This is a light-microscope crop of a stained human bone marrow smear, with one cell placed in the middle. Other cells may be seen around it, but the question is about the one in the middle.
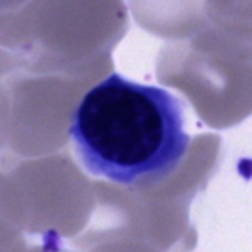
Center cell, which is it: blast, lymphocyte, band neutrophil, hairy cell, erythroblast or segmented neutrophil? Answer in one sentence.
In the central position of this crop, the cell is an erythroblast.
